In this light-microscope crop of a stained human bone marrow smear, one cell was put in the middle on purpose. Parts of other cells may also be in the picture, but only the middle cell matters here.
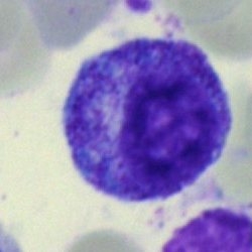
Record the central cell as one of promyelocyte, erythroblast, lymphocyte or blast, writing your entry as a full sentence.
Positioned in the middle of the crop is a promyelocyte.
